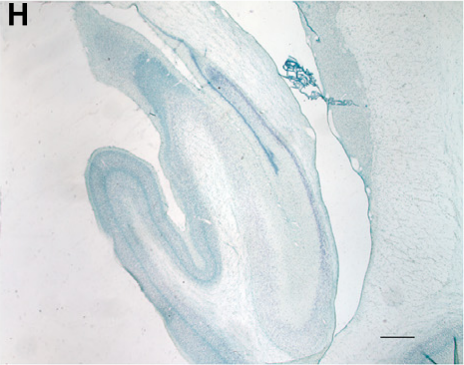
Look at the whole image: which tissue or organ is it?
Hippocampus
